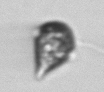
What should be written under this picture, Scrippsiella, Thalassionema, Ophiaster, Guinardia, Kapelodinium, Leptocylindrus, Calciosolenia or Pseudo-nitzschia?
Scrippsiella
